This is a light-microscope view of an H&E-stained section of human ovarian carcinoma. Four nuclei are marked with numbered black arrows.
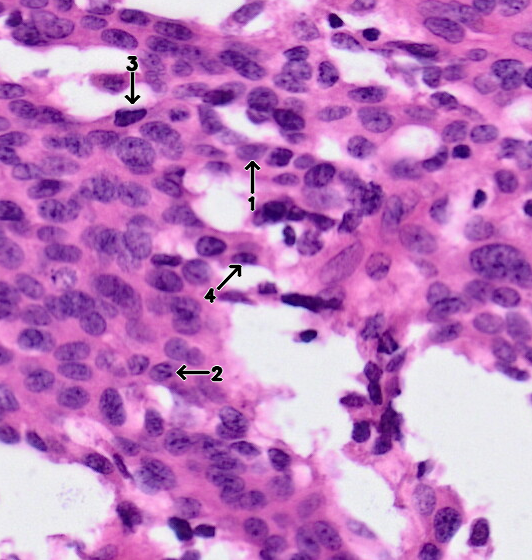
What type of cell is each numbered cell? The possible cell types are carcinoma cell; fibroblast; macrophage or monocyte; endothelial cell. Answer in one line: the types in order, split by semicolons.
carcinoma cell; macrophage or monocyte; carcinoma cell; carcinoma cell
